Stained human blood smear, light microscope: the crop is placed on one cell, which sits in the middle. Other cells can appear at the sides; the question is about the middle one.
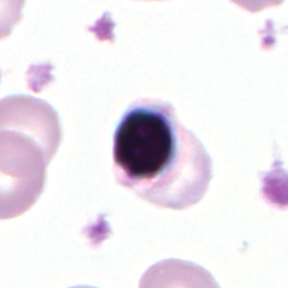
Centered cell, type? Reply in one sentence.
The centrally placed cell is classified as a normoblast.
